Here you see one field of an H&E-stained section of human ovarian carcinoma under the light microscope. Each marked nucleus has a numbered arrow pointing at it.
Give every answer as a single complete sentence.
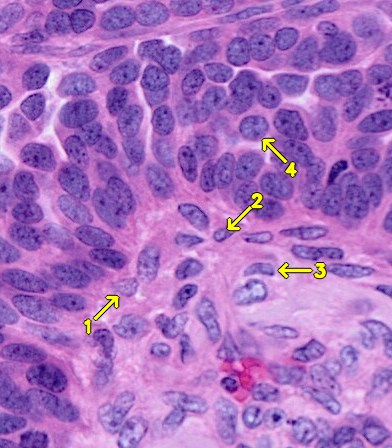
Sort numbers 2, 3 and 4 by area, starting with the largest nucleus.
From largest to smallest, the order is 4, 3, 2.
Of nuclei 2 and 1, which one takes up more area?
Nucleus 1 is the larger one, covering about 2 times the area of nucleus 2.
